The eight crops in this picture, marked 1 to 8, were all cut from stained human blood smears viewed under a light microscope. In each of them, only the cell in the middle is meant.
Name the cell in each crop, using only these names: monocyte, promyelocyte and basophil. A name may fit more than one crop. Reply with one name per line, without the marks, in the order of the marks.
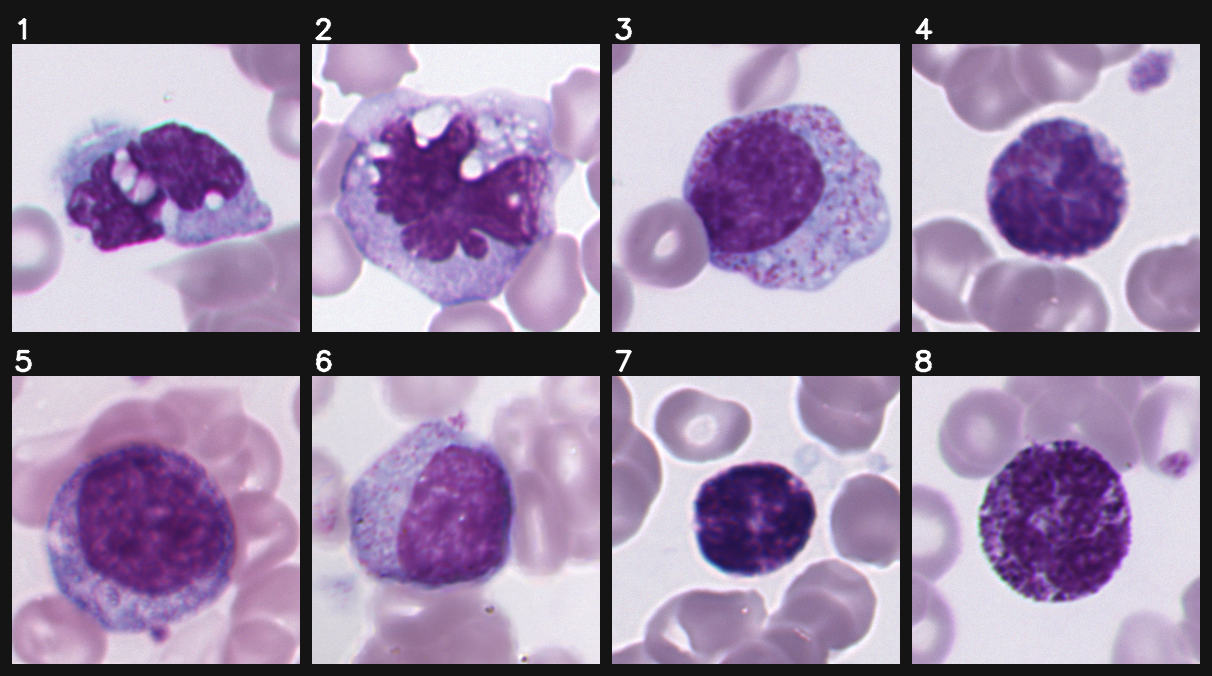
monocyte
monocyte
promyelocyte
basophil
promyelocyte
promyelocyte
basophil
basophil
